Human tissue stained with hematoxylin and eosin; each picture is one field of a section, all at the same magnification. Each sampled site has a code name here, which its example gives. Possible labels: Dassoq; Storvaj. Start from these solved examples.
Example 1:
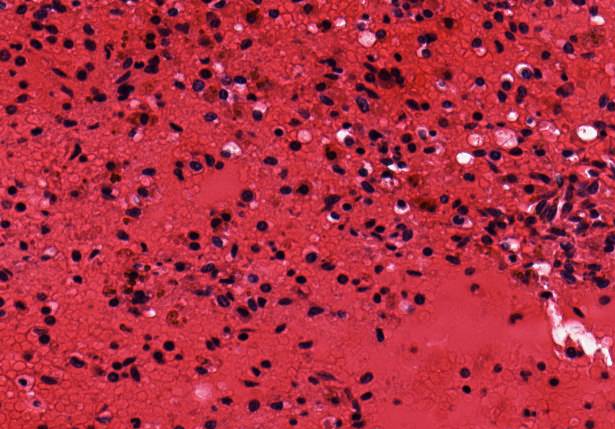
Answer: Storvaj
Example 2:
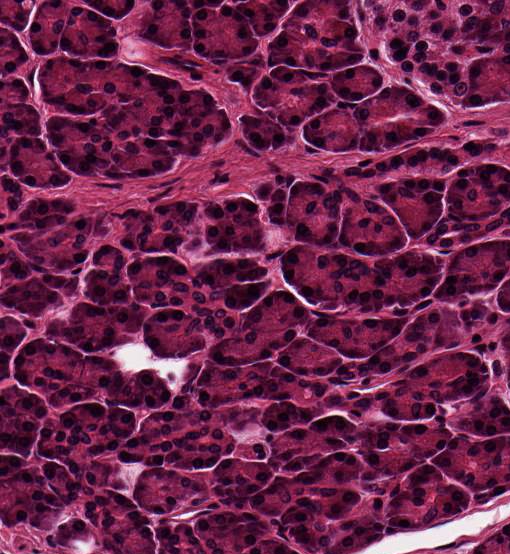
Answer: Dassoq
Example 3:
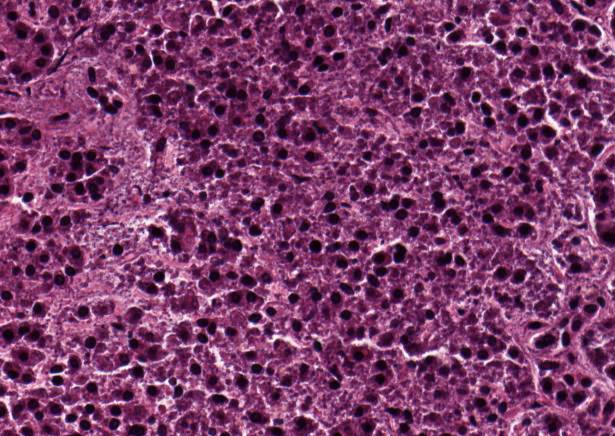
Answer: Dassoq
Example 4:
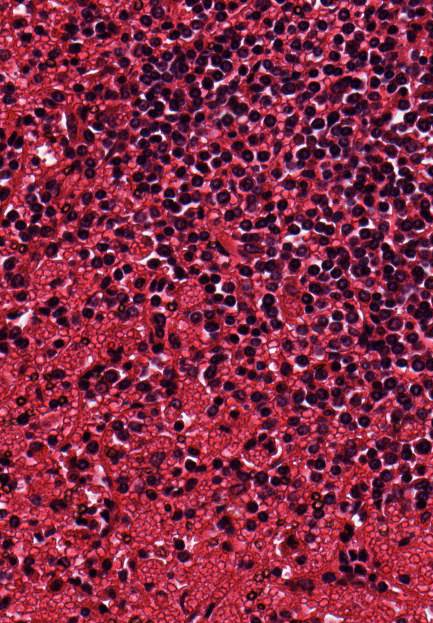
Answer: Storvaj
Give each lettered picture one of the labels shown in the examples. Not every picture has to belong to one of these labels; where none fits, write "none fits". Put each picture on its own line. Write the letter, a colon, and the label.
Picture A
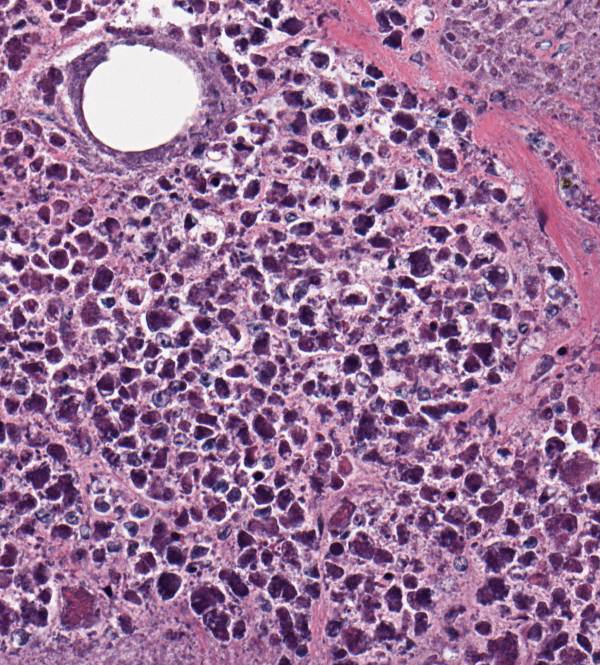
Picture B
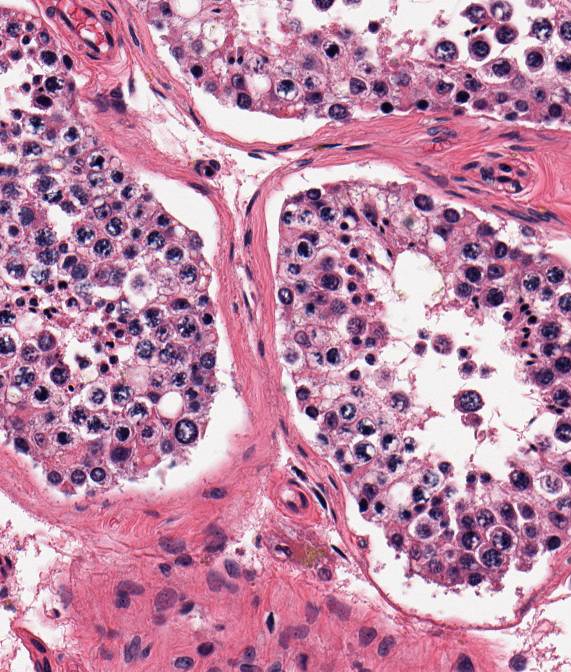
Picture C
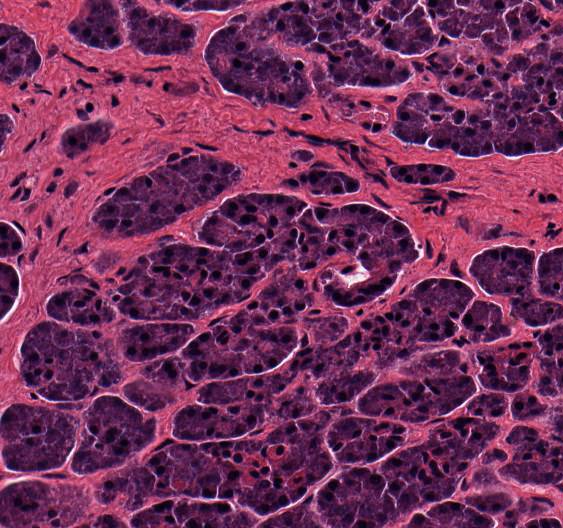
A: Dassoq
B: none fits
C: Dassoq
